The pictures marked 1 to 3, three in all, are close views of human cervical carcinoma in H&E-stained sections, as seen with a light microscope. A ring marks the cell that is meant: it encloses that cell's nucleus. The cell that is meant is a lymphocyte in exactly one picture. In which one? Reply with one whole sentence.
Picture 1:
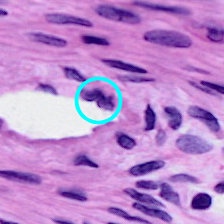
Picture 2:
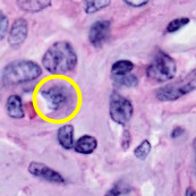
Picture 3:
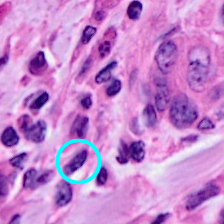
The picture with the lymphocyte is 3.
